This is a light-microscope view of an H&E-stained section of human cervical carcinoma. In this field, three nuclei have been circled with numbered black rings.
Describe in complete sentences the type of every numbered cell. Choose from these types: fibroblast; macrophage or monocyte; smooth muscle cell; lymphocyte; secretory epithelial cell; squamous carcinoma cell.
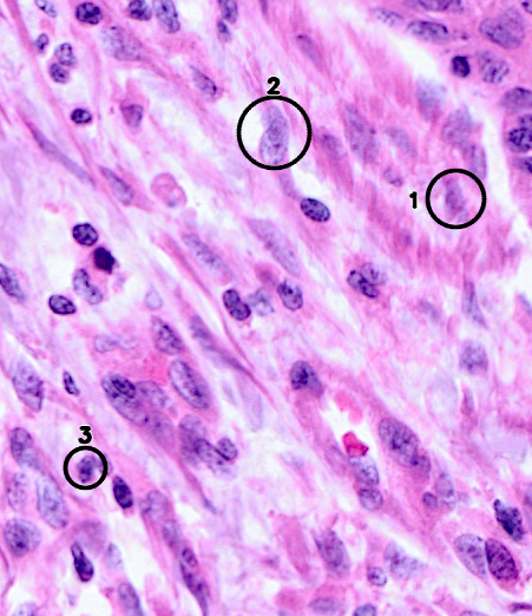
Cell 1 is a fibroblast, cell 2 is a fibroblast and cell 3 is a lymphocyte.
